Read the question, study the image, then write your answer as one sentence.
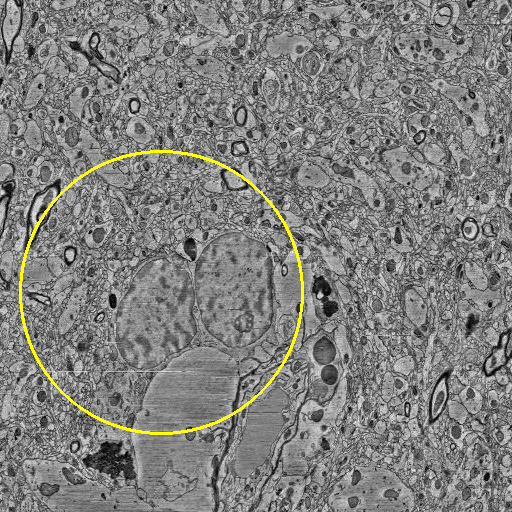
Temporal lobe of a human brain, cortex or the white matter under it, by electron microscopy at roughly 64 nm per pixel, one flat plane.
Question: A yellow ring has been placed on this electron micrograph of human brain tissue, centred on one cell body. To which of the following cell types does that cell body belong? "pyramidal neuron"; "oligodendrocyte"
That cell body belongs to an oligodendrocyte.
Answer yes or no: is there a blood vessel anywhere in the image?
Yes, a blood vessel shows in the picture.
